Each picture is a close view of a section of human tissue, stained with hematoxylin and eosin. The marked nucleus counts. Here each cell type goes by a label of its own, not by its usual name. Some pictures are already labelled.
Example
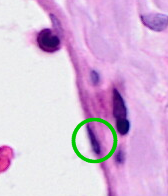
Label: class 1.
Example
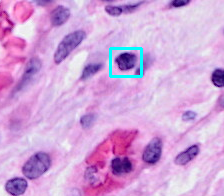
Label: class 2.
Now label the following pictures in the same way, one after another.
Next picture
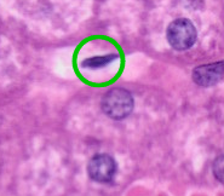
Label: class 2.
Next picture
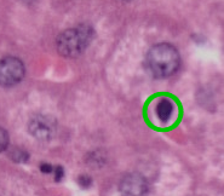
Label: class 2.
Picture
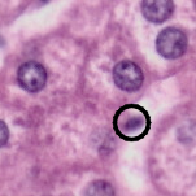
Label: class 2.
